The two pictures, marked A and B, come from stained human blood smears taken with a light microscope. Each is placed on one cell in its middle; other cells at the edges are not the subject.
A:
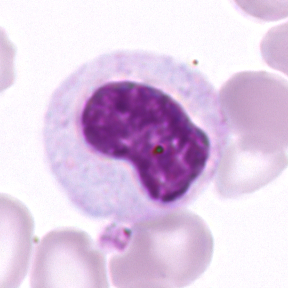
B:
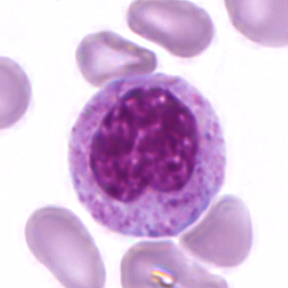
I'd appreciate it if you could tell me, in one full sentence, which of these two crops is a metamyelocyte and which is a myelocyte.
Crop A depicts a metamyelocyte, and crop B depicts a myelocyte.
